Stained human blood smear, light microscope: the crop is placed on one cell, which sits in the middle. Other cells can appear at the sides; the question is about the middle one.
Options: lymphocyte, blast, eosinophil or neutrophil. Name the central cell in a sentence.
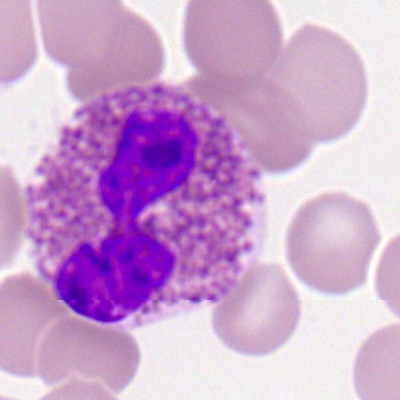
The identification for the central cell is an eosinophil.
